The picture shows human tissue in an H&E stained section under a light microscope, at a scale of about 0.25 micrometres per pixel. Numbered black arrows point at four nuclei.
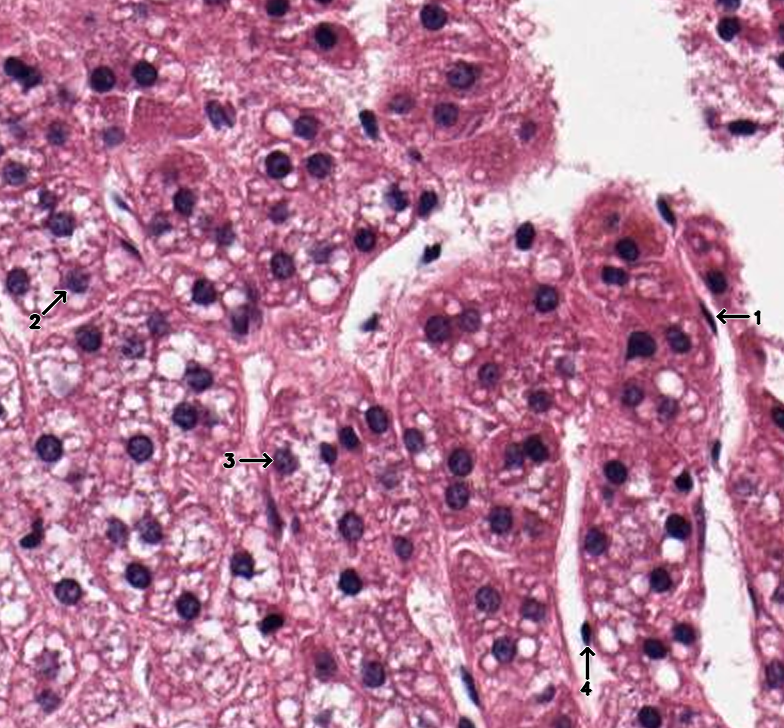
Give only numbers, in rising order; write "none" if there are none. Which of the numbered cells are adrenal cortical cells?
2, 3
